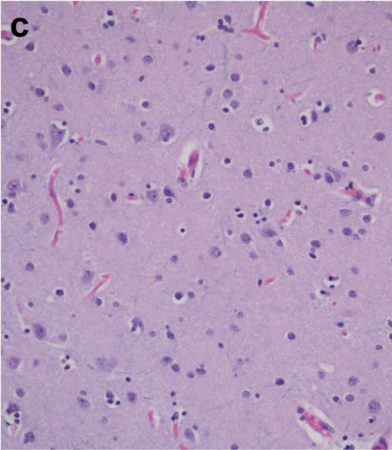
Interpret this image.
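This is grey matter-like tissue made of neurons scattered among many glial cells, oligodendrocytes and astrocytes. Thin-walled vessels containing red blood cells run through the pale pink background.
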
